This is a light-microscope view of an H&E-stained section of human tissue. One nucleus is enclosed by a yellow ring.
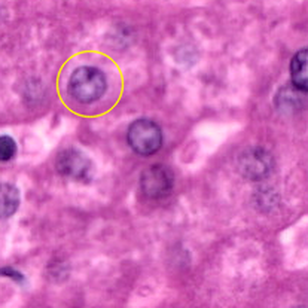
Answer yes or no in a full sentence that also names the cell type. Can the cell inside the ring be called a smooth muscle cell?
No, as classified here, the cell inside the ring is a hepatocyte and not a smooth muscle cell.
